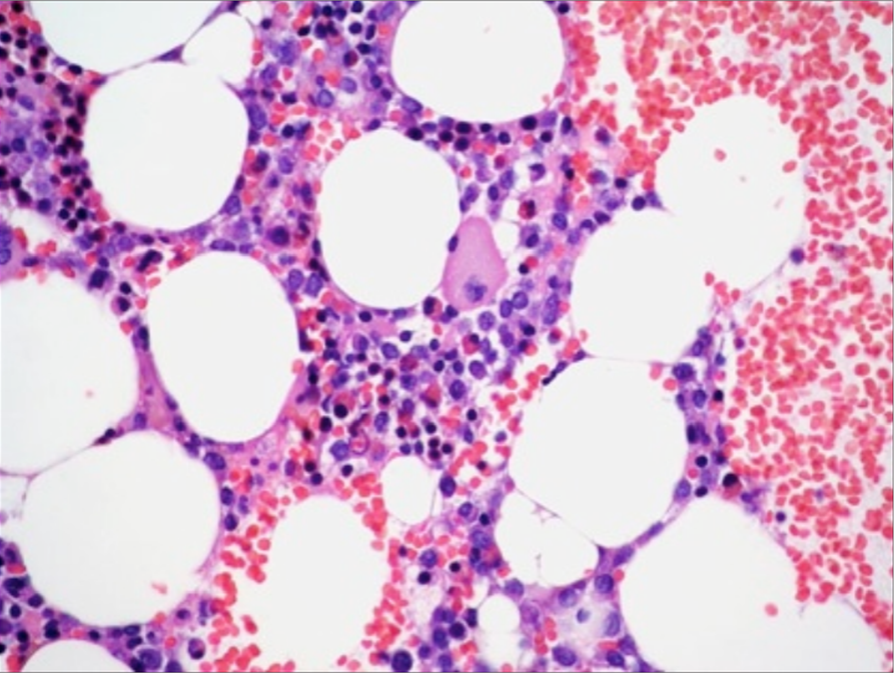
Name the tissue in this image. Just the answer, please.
Bone marrow.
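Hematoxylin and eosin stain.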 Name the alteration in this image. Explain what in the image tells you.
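Diminished cell content. Empty fat spaces take up much of the field.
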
